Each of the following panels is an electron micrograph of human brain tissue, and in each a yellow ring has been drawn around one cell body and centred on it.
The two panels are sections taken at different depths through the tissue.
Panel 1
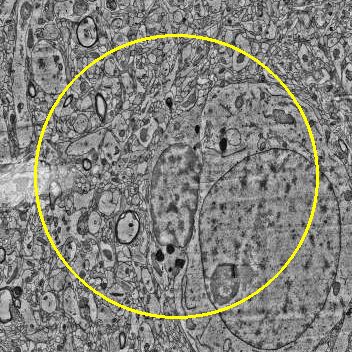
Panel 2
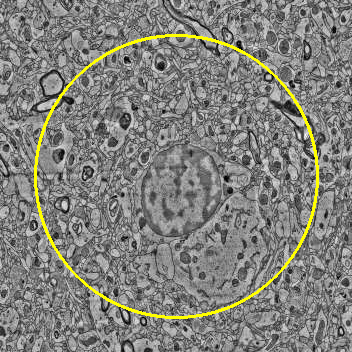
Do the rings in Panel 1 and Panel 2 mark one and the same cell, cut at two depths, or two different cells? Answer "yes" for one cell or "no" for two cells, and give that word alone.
no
